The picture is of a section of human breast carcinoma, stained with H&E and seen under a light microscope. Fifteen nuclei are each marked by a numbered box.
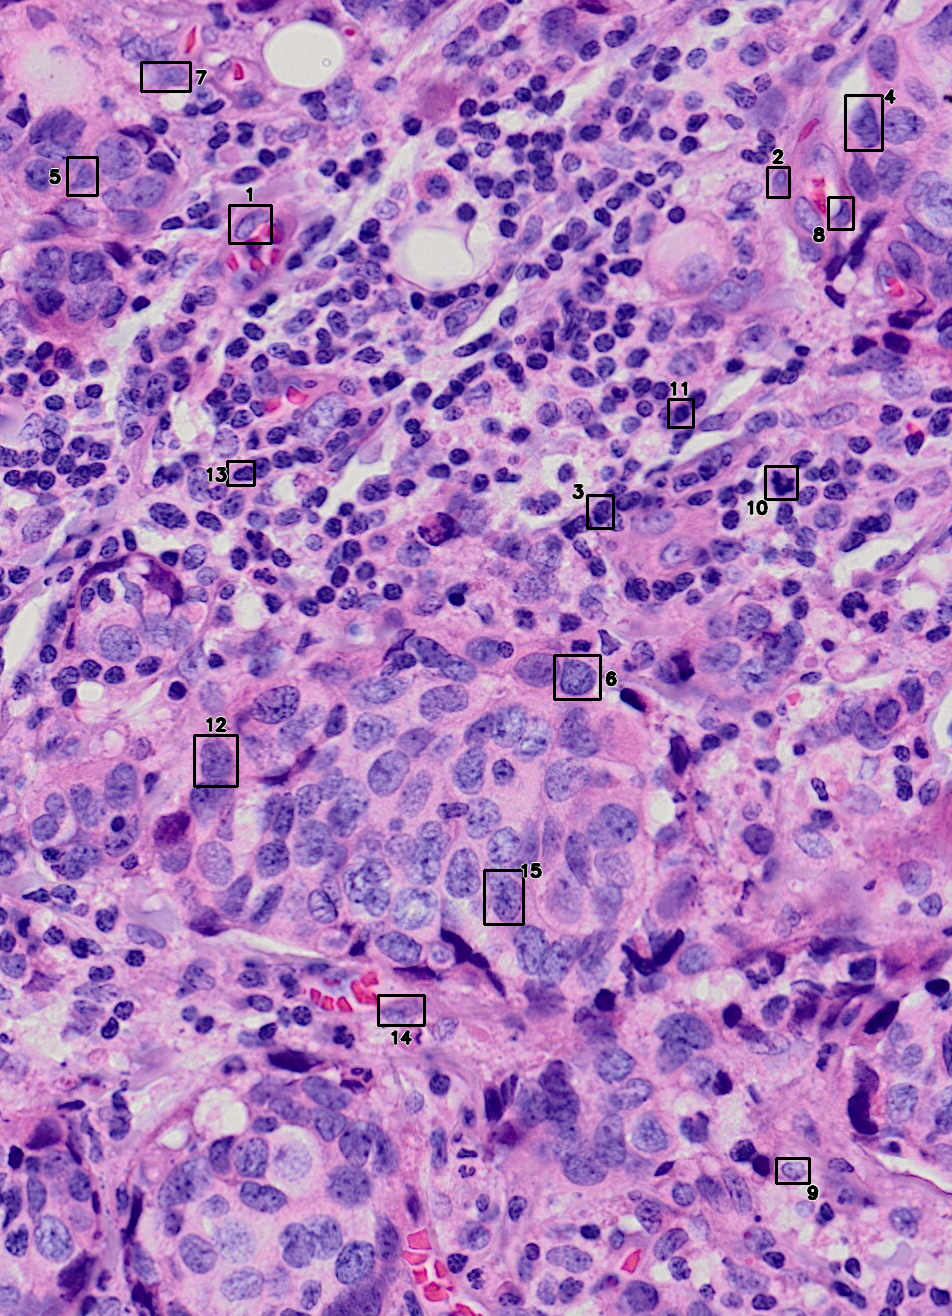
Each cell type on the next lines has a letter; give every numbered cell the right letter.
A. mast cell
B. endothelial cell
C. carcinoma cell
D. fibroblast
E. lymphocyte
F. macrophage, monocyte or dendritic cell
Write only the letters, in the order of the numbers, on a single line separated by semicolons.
B; B; E; C; C; C; B; B; F; E; E; C; E; B; C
